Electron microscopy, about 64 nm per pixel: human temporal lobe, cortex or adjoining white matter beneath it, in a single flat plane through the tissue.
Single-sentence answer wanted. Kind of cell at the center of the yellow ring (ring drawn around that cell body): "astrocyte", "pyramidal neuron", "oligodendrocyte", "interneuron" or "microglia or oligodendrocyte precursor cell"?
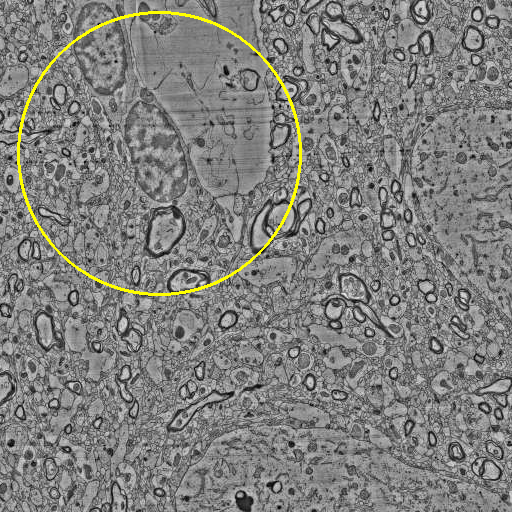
The cell centered in the ring is an oligodendrocyte.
